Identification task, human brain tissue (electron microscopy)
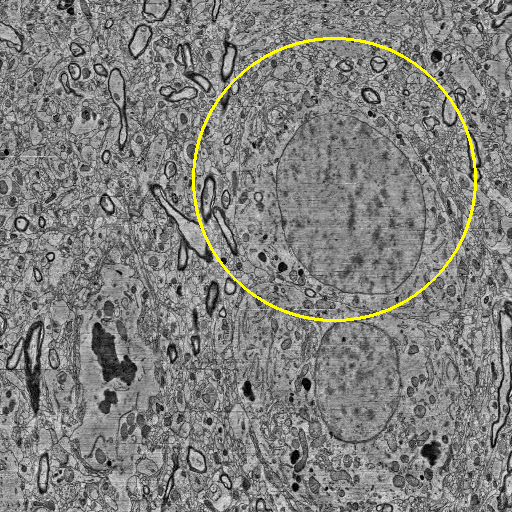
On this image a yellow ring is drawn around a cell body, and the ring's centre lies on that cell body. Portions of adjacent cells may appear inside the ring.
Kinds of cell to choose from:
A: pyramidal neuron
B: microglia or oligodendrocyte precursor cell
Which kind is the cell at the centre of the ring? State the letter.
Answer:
A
